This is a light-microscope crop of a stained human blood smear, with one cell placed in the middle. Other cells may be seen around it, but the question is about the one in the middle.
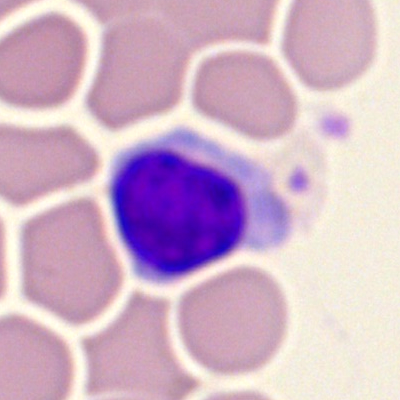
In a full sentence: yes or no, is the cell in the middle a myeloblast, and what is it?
No, what is centred in the crop is not a myeloblast but a lymphocyte.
